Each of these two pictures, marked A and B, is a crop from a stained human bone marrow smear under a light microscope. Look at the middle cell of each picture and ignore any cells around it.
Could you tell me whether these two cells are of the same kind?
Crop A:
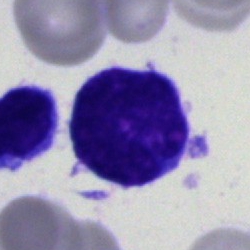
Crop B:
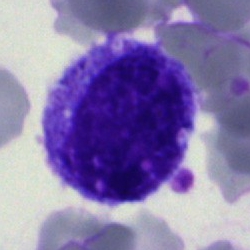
no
